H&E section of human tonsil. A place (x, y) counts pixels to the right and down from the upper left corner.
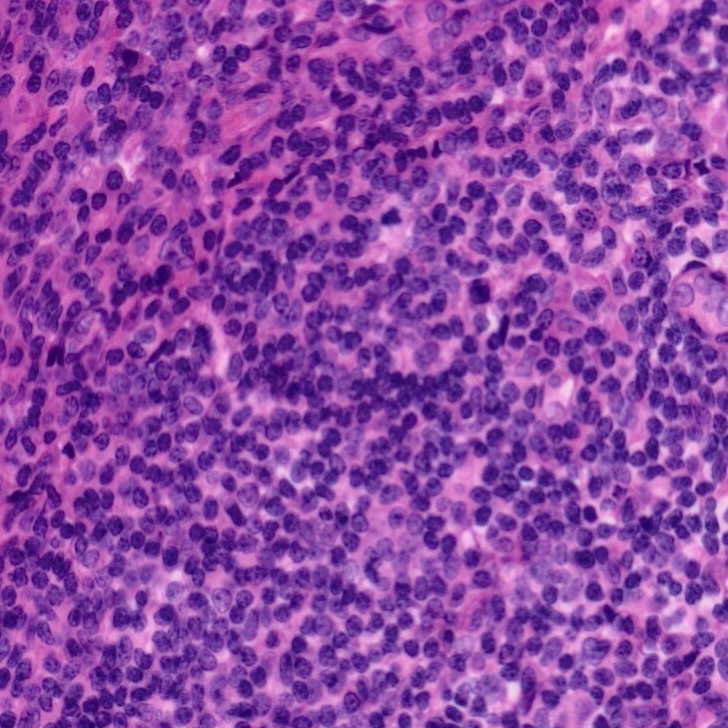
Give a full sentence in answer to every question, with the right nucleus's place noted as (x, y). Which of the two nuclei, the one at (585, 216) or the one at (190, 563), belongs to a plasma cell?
Of the two, the nucleus lying at (585, 216) is the one belonging to a plasma cell.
